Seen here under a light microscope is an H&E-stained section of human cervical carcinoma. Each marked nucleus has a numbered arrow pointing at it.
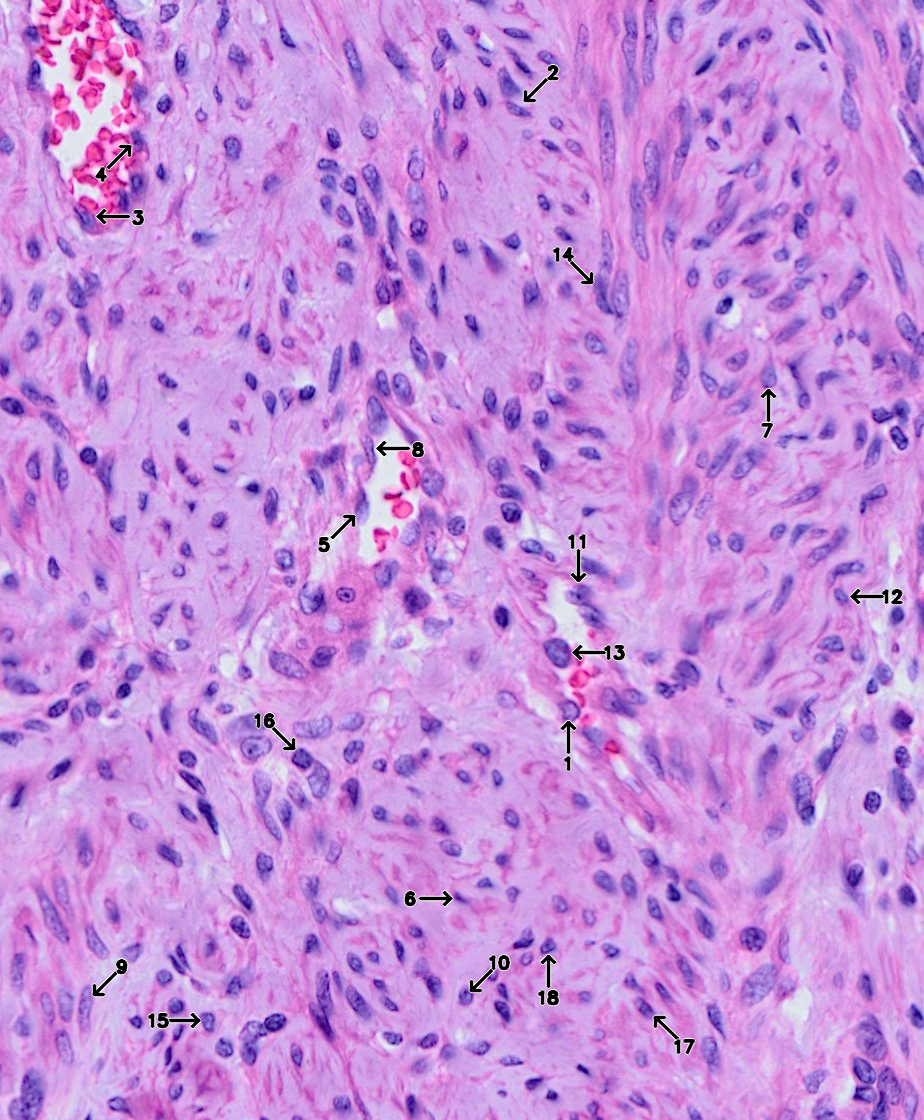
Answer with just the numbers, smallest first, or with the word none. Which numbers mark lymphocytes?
16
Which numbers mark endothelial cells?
1, 3, 4, 5, 8, 11, 13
